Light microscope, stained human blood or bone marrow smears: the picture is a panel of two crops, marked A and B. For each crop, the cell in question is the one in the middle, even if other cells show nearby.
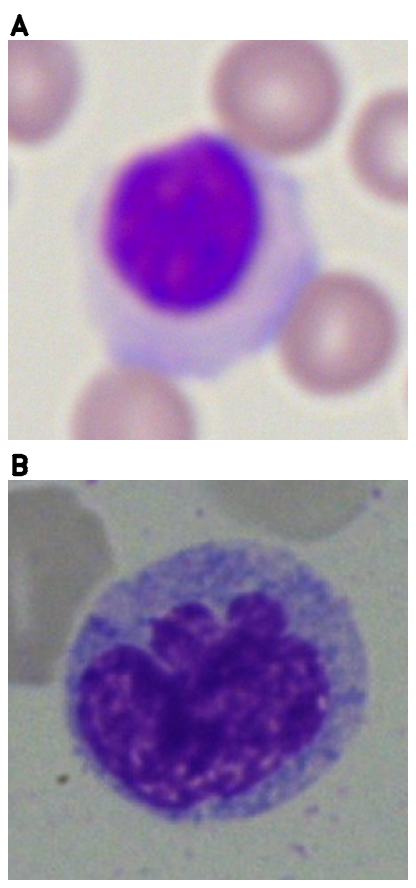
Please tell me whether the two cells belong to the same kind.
no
